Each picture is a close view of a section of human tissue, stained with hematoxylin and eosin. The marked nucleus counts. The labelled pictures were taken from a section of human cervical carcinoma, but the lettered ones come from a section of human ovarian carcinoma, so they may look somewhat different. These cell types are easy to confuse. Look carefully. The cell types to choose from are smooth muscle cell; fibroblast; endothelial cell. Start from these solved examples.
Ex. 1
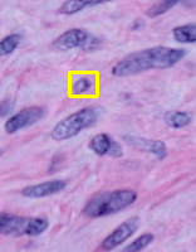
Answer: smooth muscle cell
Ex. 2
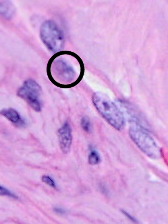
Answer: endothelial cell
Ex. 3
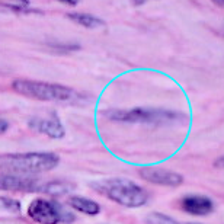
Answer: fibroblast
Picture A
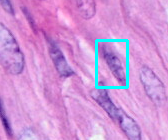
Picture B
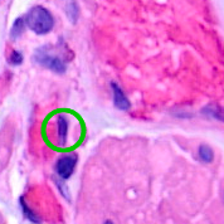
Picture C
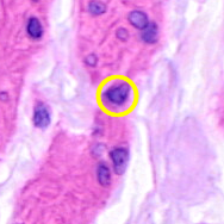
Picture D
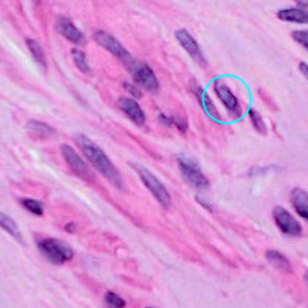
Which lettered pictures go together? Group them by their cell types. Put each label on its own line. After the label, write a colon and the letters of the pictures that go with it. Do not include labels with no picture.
smooth muscle cell: C, D
fibroblast: A
endothelial cell: B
